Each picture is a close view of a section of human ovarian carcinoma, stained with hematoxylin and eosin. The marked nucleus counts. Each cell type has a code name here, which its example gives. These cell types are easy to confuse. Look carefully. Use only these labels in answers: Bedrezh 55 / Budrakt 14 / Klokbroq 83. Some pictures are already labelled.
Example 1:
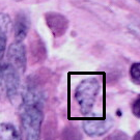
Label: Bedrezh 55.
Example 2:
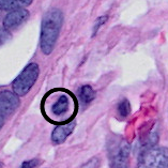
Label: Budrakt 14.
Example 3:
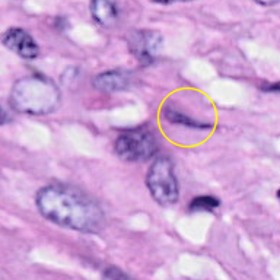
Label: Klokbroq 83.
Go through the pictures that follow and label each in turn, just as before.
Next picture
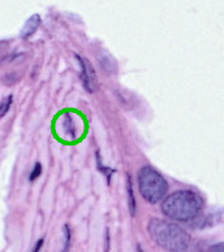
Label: Klokbroq 83.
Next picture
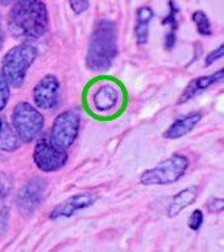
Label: Klokbroq 83.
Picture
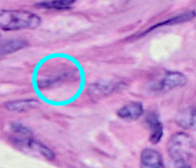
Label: Klokbroq 83.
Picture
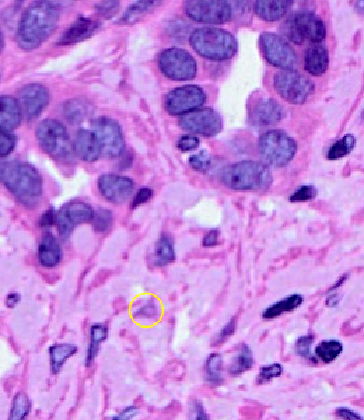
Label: Klokbroq 83.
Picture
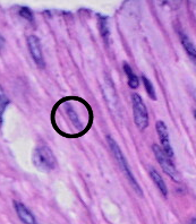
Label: Klokbroq 83.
